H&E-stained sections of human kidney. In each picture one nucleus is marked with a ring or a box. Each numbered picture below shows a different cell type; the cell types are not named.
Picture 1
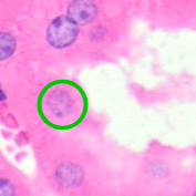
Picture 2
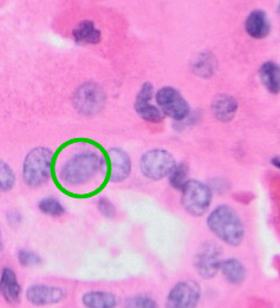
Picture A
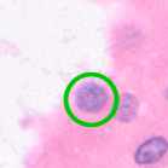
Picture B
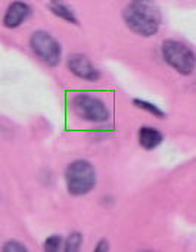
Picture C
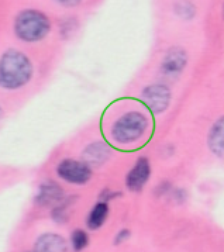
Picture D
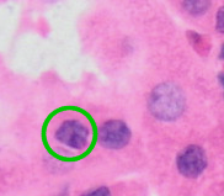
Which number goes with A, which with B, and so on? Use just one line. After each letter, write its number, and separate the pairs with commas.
A 1, B 2, C 2, D 1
